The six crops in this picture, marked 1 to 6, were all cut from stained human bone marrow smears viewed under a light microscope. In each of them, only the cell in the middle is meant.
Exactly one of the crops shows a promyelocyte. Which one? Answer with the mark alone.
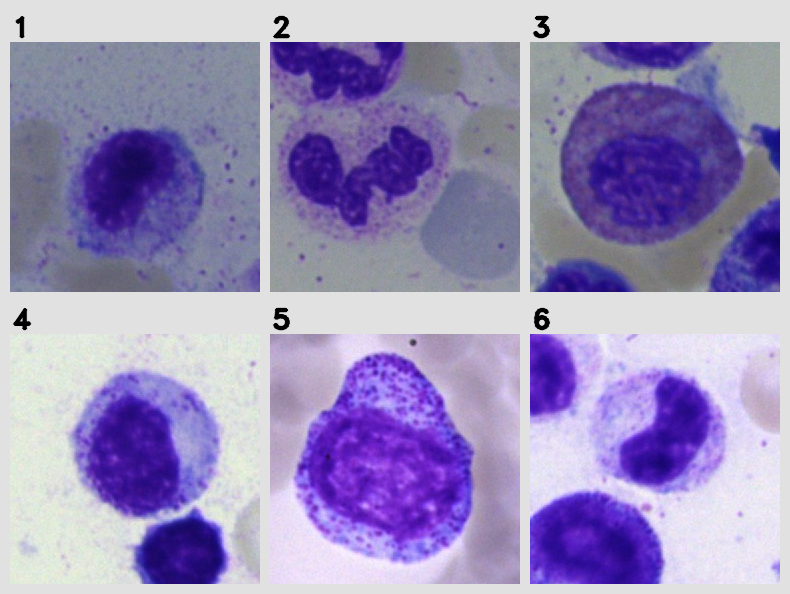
5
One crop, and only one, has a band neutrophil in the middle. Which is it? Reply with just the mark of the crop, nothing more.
6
